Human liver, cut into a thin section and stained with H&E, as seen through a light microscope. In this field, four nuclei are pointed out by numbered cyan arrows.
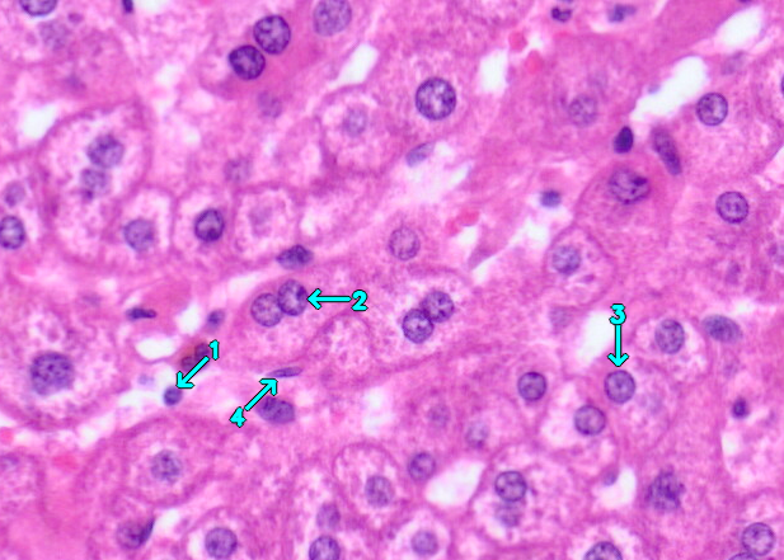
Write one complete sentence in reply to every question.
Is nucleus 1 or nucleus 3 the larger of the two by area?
Number 3 is larger; its area is about 2.5 times that of number 1.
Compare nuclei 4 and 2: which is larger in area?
It is nucleus 2, which covers about 3 times the area of nucleus 4.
